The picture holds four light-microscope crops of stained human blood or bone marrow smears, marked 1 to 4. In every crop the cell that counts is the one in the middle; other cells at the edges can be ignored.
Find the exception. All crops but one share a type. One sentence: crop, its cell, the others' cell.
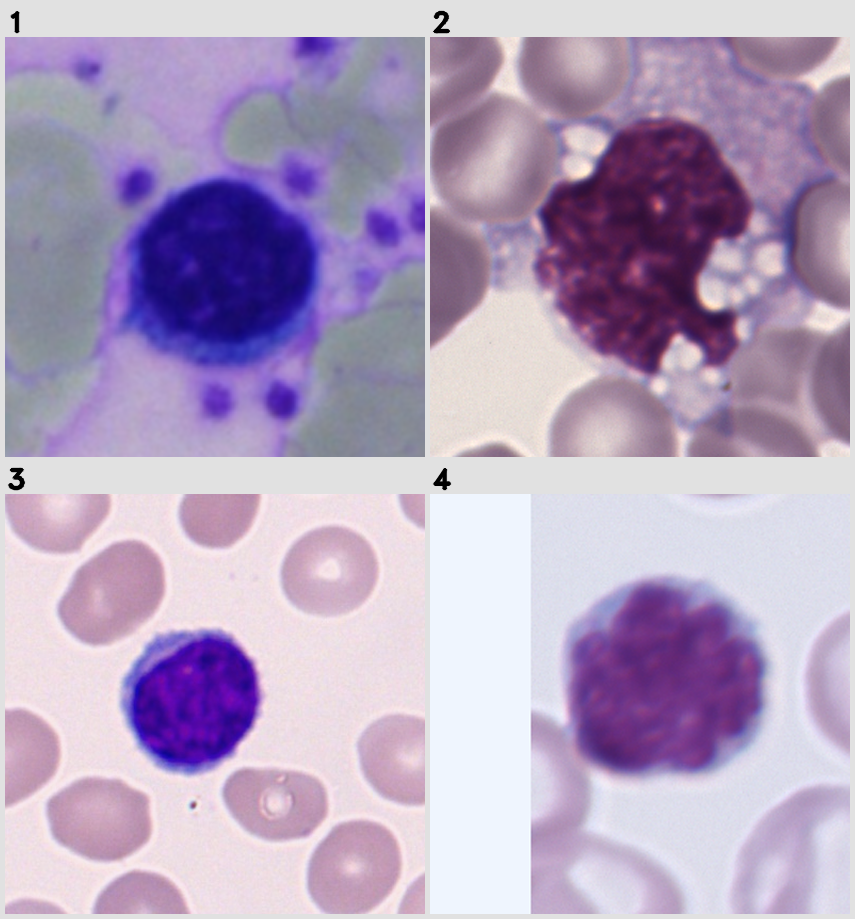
The crop that differs is crop 2, showing a monocyte; the others show lymphocytes.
